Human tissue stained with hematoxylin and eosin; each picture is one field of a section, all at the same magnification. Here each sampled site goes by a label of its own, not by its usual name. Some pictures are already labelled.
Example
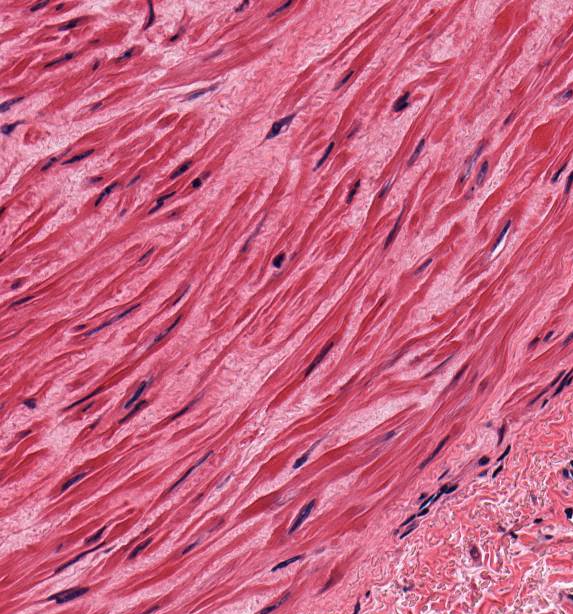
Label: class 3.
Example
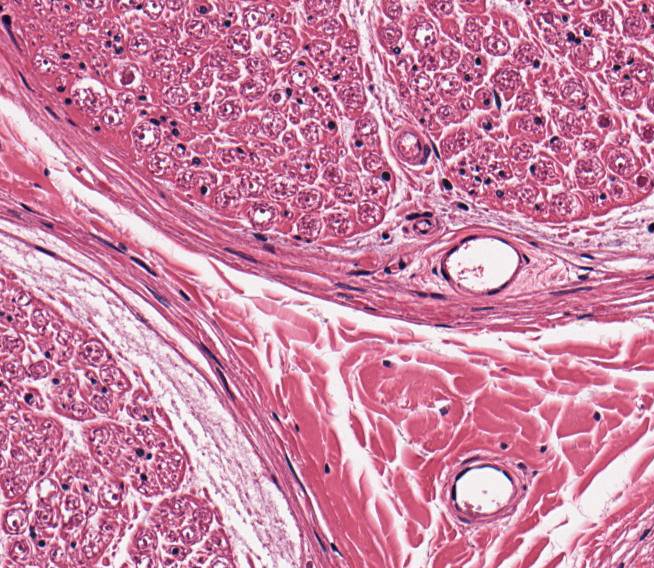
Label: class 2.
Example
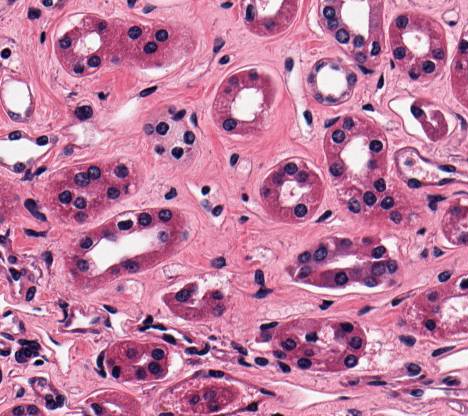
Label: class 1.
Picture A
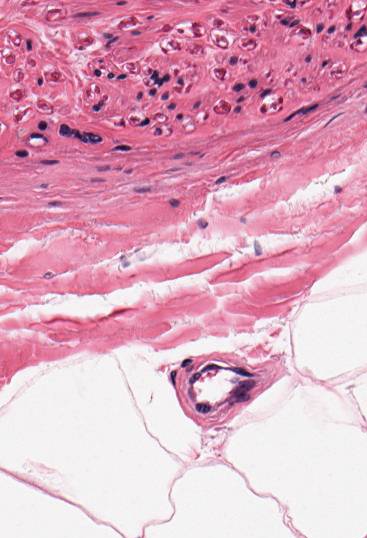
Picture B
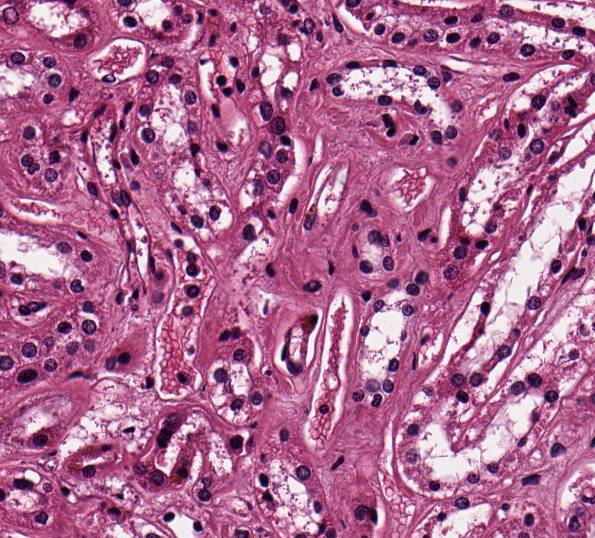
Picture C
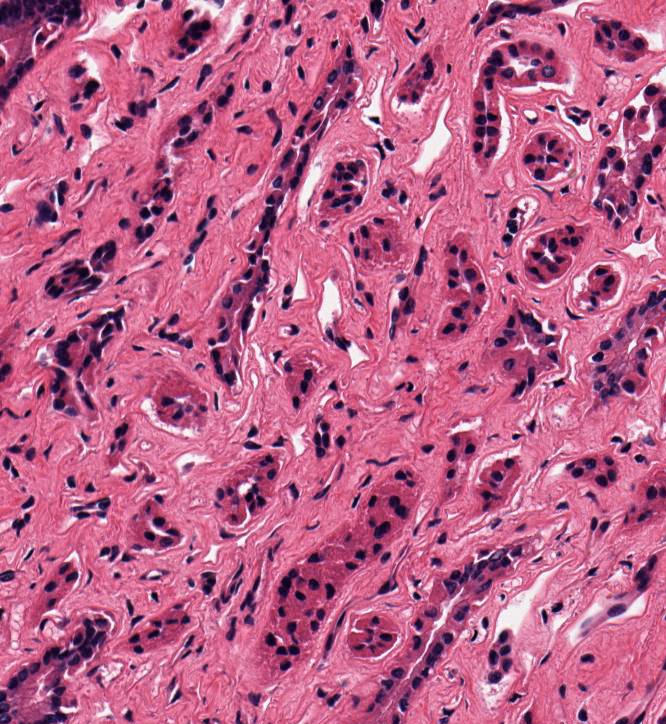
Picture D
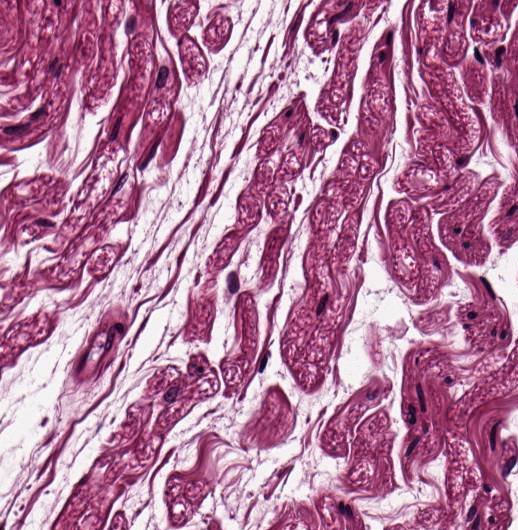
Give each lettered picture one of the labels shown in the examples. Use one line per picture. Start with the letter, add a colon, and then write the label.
A: class 2.
B: class 1.
C: class 1.
D: class 2.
